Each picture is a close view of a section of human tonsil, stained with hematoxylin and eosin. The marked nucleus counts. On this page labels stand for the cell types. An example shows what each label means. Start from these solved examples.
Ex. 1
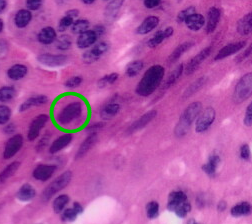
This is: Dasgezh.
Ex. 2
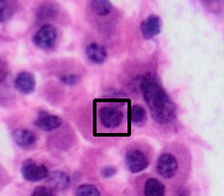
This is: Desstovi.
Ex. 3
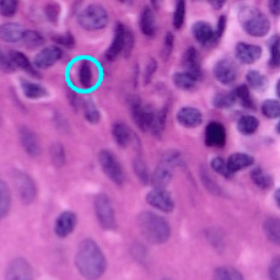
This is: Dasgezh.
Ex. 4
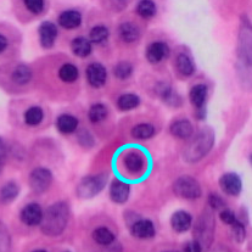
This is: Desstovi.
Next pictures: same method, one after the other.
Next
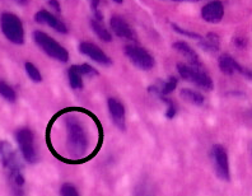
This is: Dasgezh.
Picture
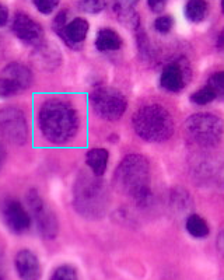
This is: Dasgezh.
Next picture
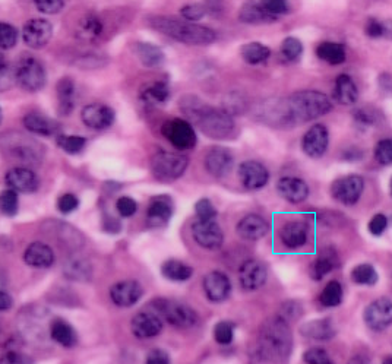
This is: Desstovi.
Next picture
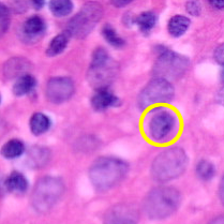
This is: Dasgezh.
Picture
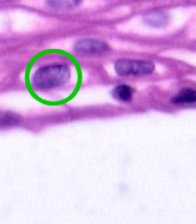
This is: Dasgezh.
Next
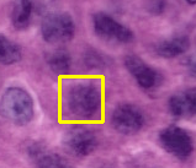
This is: Dasgezh.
